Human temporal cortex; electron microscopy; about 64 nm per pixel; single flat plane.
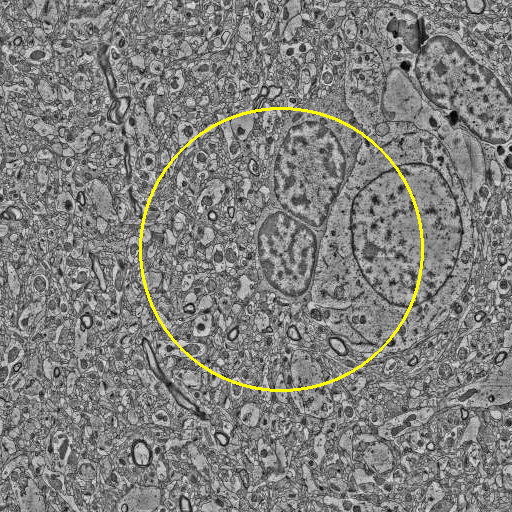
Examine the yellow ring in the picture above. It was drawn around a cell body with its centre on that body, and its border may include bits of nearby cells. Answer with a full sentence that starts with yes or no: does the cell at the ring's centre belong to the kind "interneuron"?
No, the cell at the heart of the ring shown in the image is a different kind of cell.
